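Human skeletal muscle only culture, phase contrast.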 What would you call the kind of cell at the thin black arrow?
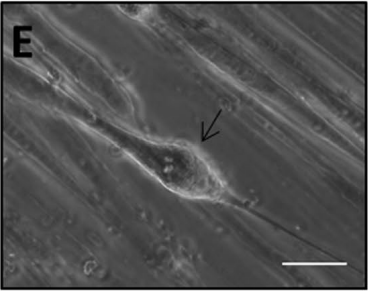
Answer: Intrafusal fibers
